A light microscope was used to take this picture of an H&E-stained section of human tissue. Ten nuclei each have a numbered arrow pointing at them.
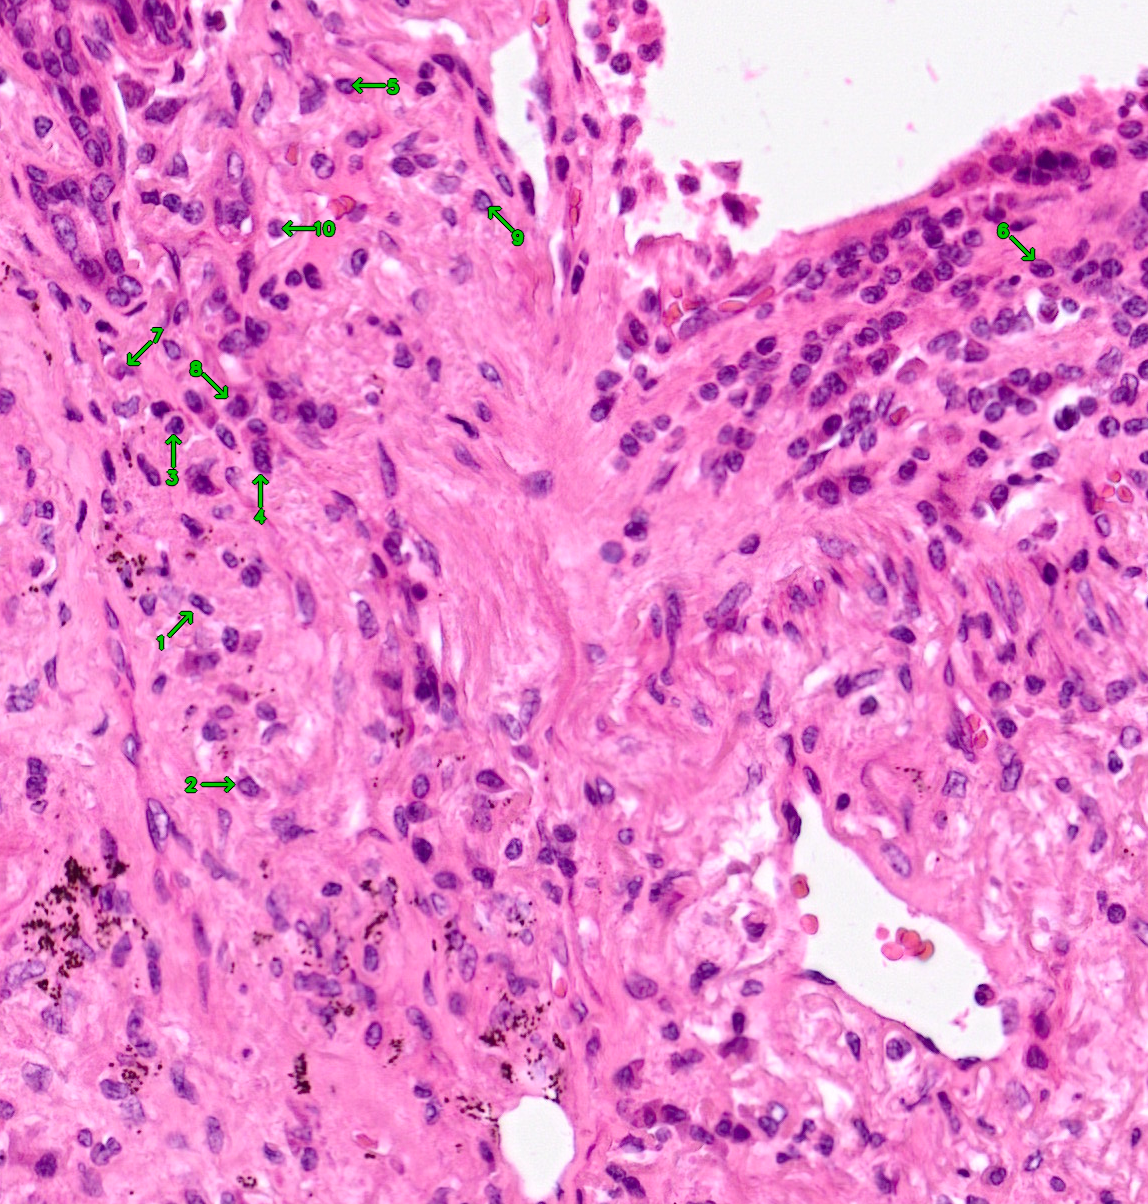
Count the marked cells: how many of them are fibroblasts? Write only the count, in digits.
0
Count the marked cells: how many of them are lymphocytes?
4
